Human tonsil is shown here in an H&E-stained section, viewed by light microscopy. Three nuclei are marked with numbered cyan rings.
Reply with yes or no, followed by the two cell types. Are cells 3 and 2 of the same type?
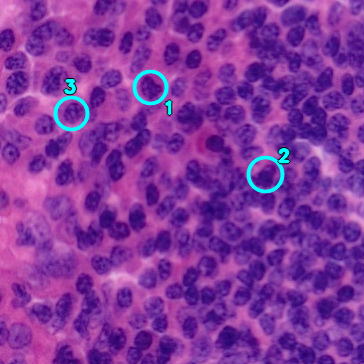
No, cell 3 is a plasma cell and cell 2 is a small lymphocyte.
